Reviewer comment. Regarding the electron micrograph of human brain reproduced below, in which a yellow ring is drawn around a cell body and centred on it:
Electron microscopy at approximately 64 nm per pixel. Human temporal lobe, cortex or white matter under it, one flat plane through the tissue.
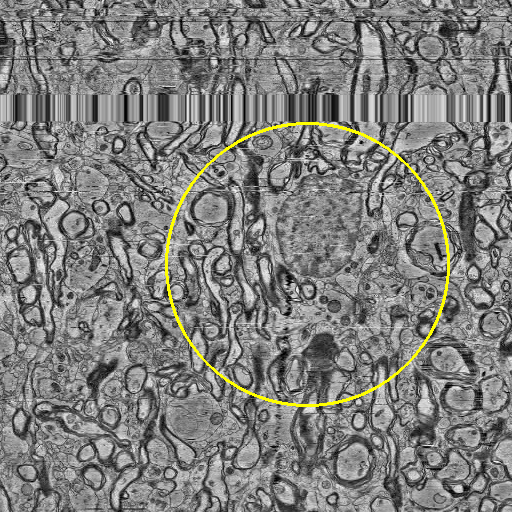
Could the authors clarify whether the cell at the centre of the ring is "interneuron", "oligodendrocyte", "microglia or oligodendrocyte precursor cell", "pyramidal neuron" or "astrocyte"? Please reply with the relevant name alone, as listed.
oligodendrocyte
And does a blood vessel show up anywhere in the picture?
No, a blood vessel is absent from this picture.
